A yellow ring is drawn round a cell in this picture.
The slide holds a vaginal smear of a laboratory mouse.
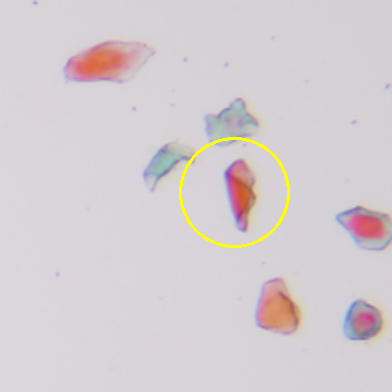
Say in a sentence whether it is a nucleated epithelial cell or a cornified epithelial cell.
The cell in the ring is a cornified epithelial cell.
